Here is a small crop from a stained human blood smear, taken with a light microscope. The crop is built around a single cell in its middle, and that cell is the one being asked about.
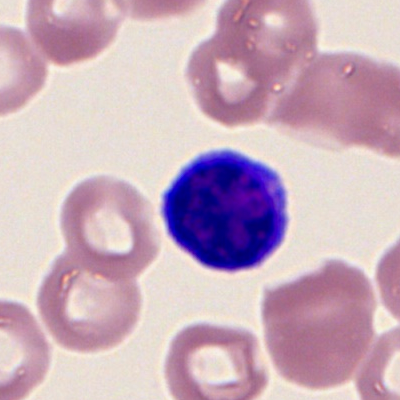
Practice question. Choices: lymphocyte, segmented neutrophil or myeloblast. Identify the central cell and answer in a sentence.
The target cell in the middle of the crop is a lymphocyte.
